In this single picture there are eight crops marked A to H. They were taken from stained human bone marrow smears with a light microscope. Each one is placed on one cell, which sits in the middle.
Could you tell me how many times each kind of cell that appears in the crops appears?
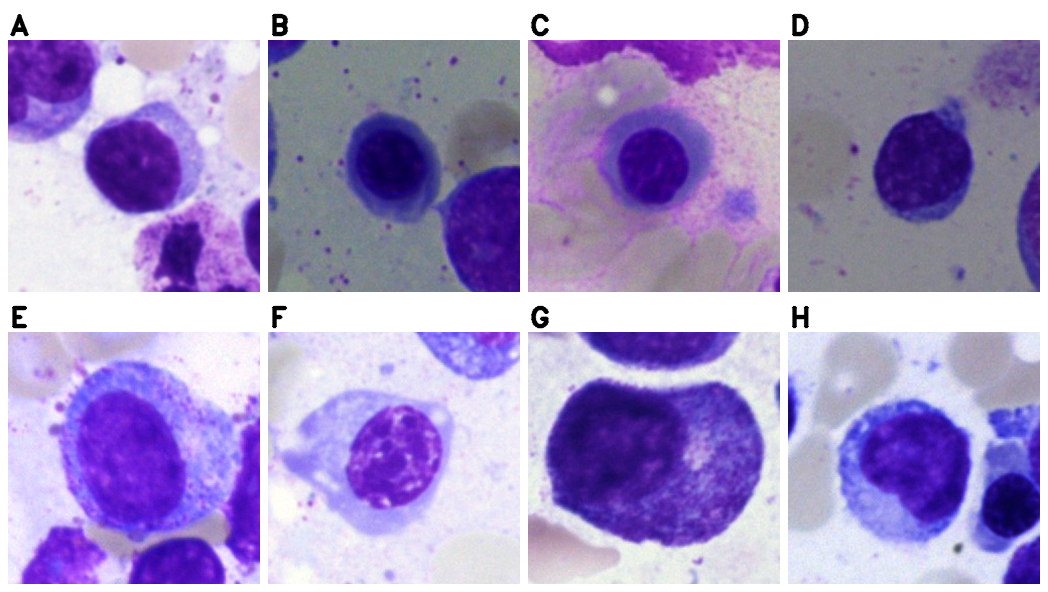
lymphocyte: 3
erythroblast: 3
promyelocyte: 2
